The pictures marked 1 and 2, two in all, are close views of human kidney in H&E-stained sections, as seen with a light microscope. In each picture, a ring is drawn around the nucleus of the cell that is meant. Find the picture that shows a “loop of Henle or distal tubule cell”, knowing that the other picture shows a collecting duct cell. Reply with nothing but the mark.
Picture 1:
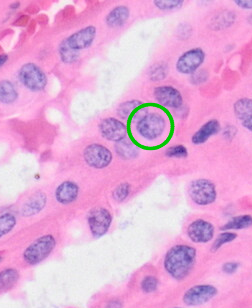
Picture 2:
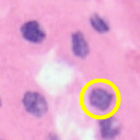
2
